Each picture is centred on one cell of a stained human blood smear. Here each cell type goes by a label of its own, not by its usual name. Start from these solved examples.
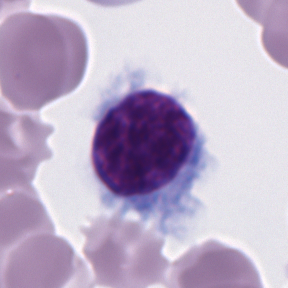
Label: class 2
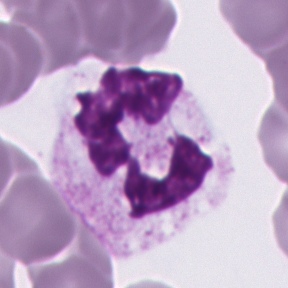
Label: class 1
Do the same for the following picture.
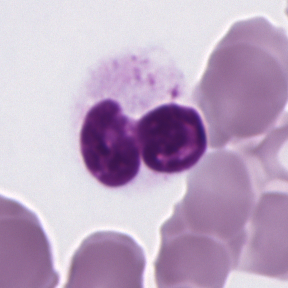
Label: class 1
